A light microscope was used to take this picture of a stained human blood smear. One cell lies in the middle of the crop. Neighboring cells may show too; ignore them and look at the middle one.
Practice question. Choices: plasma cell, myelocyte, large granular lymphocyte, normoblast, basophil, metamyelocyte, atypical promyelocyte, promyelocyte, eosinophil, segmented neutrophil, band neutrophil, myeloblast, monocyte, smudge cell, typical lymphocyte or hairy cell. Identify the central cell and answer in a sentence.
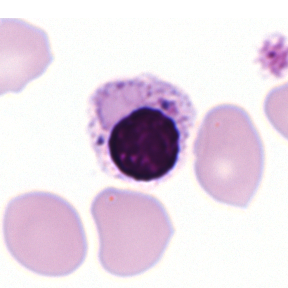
In the middle of this smear crop is a normoblast.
